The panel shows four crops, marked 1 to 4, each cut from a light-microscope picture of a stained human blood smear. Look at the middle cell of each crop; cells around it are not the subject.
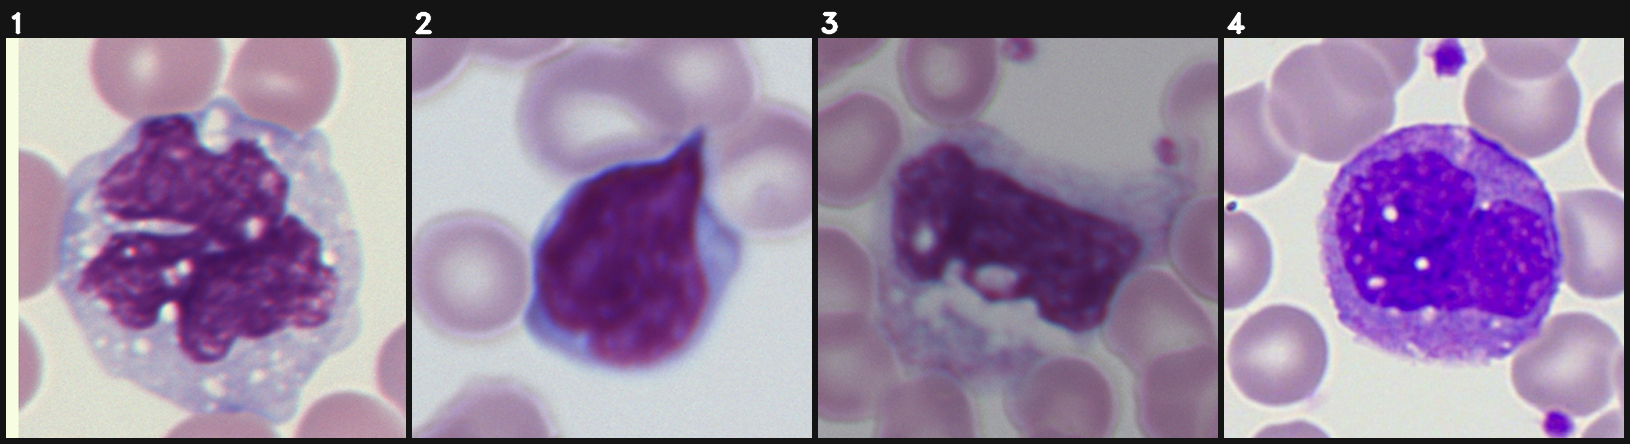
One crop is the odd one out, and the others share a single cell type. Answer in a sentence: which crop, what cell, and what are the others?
Although the other crops all show monocytes, crop 2 shows a lymphocyte.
